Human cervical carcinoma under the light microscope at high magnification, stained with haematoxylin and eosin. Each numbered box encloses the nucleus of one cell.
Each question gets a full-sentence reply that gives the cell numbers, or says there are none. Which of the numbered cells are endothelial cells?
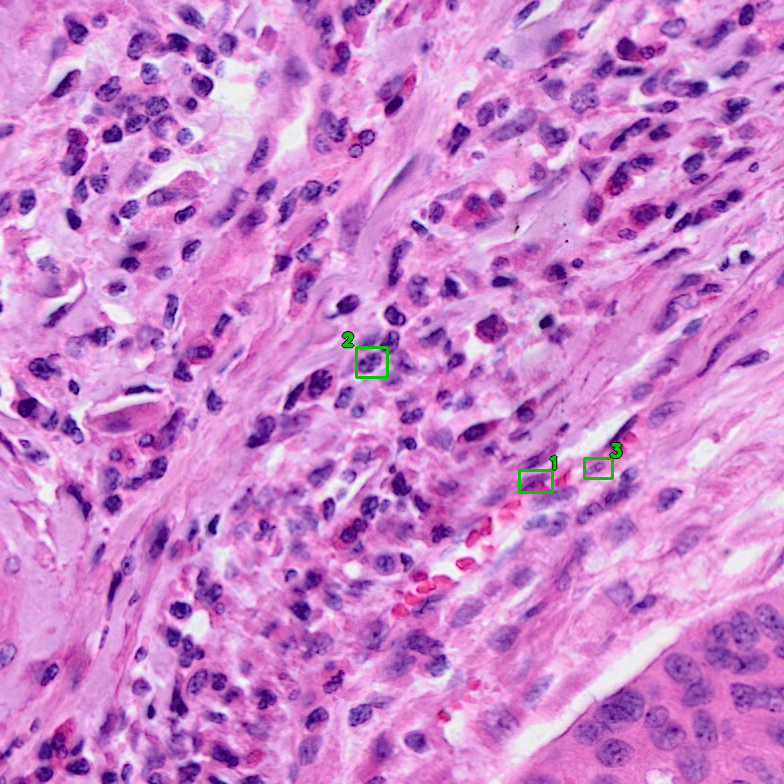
Cells 1 and 3 are endothelial cells by cell type.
